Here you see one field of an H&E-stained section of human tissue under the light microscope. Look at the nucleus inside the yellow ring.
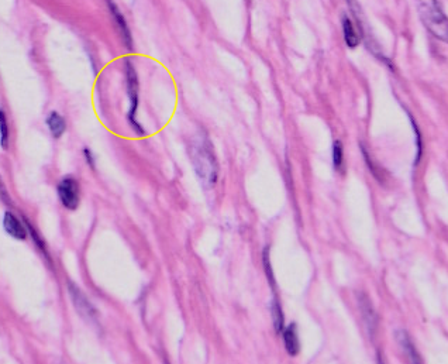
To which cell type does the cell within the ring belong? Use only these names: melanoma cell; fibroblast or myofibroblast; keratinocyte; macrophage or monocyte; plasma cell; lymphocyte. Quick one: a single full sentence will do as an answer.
The classification of the cell within the ring is as a fibroblast or myofibroblast.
